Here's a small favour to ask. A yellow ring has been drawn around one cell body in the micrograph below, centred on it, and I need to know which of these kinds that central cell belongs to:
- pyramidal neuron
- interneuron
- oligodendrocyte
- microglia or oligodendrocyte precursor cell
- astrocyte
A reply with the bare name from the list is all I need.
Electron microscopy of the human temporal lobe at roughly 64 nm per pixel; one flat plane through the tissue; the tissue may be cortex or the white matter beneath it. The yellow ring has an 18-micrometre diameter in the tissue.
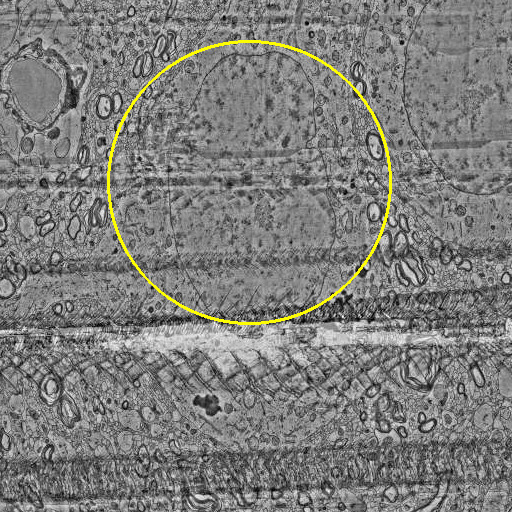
pyramidal neuron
